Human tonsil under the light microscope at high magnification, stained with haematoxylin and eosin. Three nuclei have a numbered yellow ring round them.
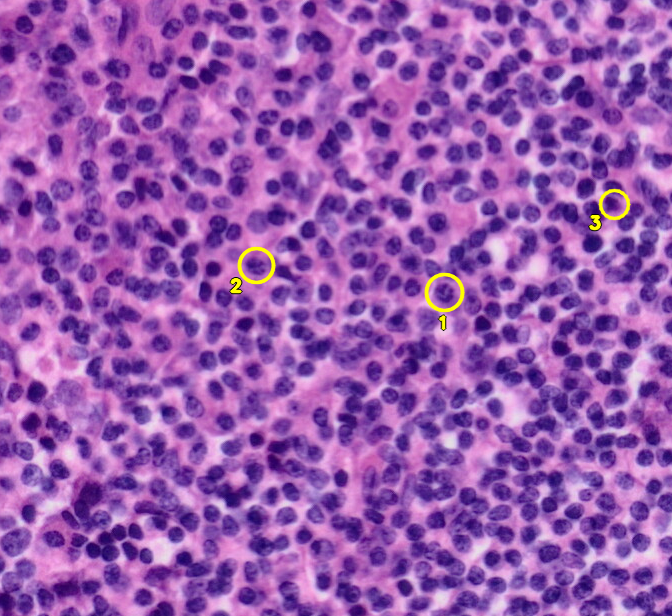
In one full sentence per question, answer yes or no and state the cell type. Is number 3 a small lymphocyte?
Yes, exactly, the cell numbered 3 is a small lymphocyte.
